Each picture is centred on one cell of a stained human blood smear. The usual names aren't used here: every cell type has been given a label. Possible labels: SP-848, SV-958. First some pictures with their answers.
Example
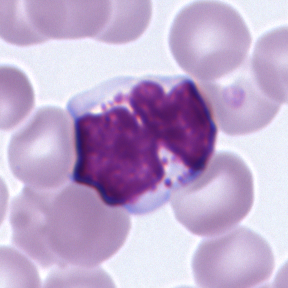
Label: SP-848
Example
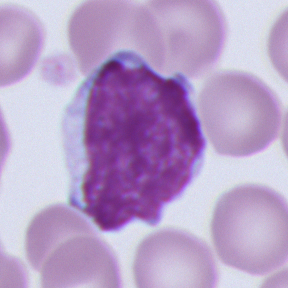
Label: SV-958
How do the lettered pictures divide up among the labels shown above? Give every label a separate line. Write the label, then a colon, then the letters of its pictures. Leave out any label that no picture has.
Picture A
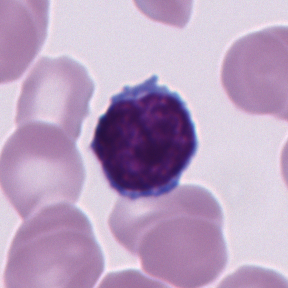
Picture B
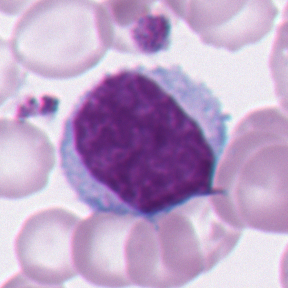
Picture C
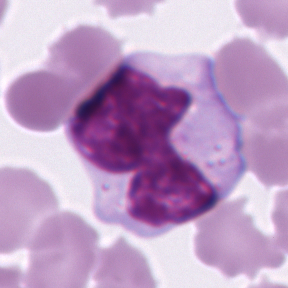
SP-848: C
SV-958: A, B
